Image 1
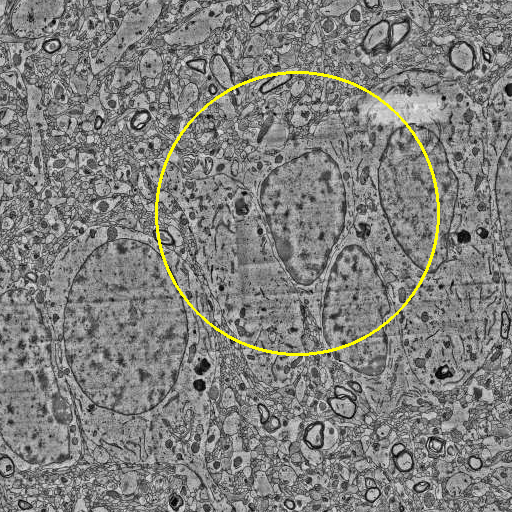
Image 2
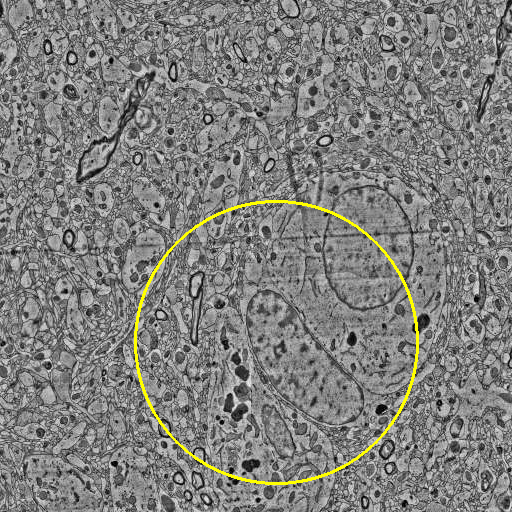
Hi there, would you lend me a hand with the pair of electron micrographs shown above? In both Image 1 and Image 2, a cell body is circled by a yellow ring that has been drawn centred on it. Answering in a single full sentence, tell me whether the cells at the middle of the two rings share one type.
Yes, the ringed cells in Image 1 and Image 2 share one type.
